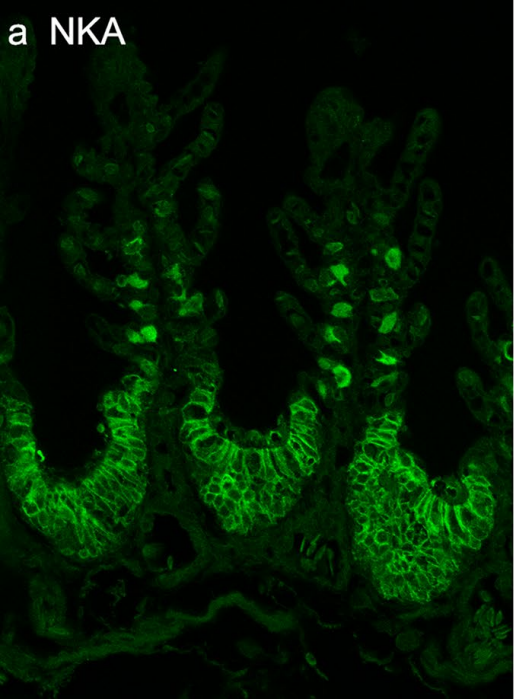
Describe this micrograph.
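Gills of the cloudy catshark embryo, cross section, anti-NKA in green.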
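The filaments are covered by a thin epithelium that stains only faintly green, while single round to oval cells within them glow bright green. At the base, between the filaments, cup-shaped clusters of tightly packed cells are outlined in green along their cell borders, forming a honeycomb-like pattern. Beneath these clusters lies loosely arranged connective tissue with a few small oval profiles.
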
